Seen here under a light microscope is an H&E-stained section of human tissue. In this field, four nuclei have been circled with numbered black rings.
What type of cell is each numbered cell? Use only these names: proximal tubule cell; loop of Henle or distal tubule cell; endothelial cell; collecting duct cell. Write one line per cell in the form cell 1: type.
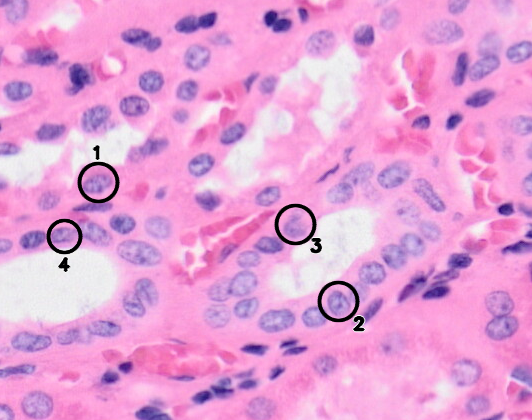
cell 1: loop of Henle or distal tubule cell
cell 2: collecting duct cell
cell 3: collecting duct cell
cell 4: collecting duct cell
